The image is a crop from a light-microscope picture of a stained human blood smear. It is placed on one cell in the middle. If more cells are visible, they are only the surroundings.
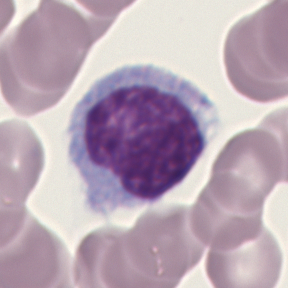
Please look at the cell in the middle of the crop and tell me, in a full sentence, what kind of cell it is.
By classification, the middle cell of this crop is a monocyte.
